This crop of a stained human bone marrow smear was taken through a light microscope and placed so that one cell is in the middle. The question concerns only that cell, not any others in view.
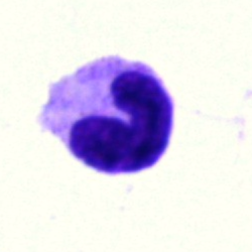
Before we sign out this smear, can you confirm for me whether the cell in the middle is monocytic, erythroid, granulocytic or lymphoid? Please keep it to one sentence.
The centered cell should be recorded as belonging to the granulocytic lineage.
